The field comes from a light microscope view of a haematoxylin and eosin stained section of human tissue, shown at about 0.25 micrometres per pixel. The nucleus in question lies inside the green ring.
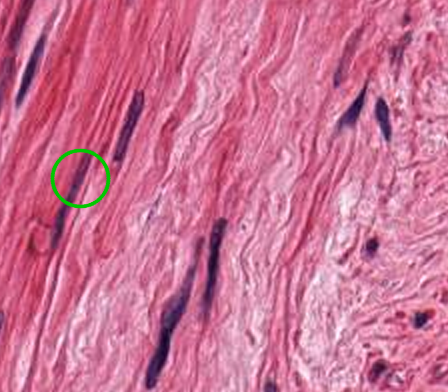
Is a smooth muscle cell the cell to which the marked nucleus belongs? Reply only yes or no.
yes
